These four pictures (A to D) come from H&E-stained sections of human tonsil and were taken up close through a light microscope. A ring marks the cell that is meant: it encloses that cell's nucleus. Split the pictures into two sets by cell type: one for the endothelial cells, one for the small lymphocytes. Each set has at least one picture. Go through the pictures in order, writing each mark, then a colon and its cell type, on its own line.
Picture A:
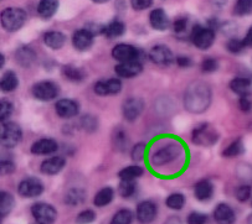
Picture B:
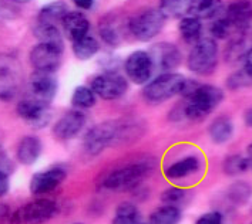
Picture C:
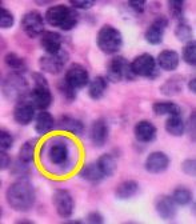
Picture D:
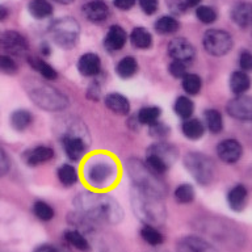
A: endothelial cell
B: endothelial cell
C: small lymphocyte
D: endothelial cell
